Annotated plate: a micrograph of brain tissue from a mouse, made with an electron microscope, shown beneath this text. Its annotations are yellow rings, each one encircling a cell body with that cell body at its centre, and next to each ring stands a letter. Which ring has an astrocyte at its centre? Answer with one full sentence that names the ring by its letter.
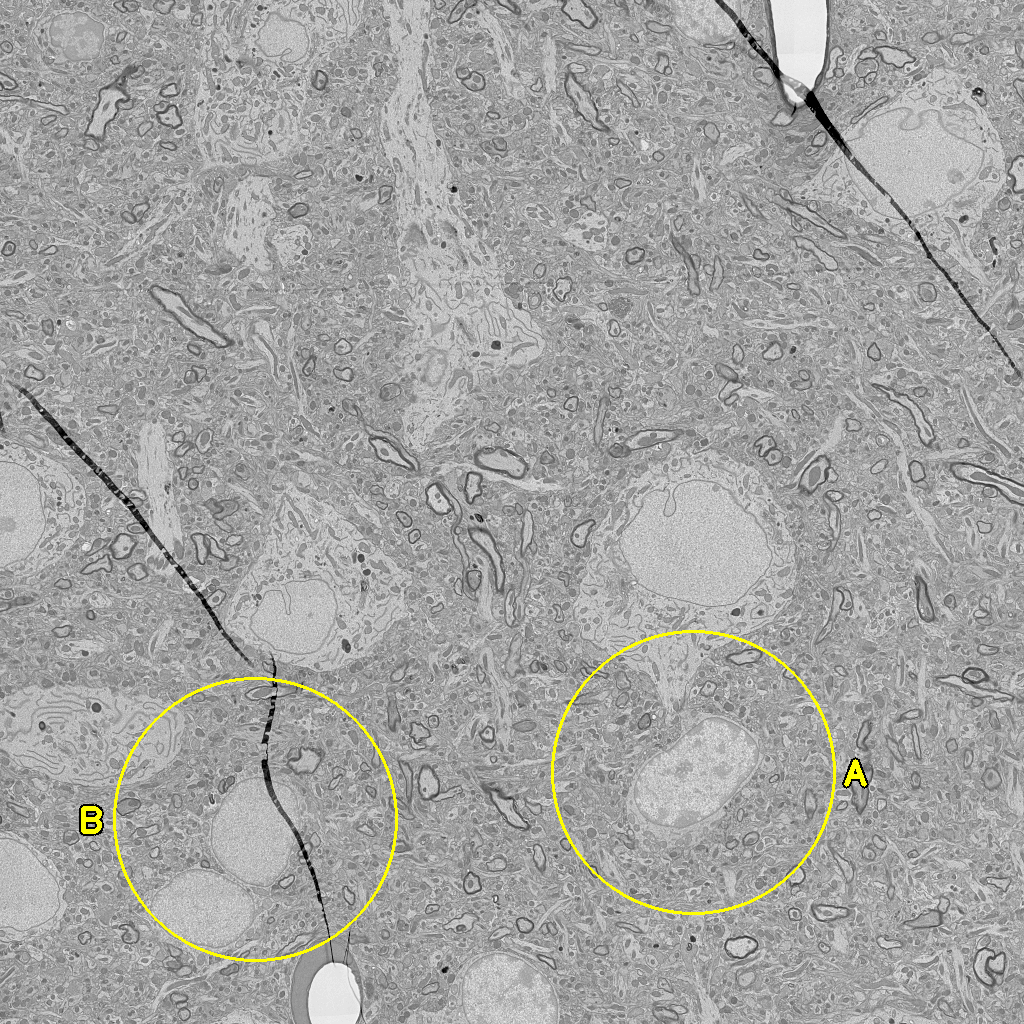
In the plate, ring B is the one centred on a cell of that kind.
